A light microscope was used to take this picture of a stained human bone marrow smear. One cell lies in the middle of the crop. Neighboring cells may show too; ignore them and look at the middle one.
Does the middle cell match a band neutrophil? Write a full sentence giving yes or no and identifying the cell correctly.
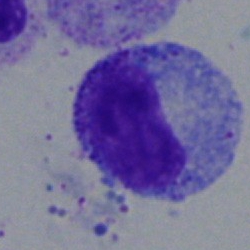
No, the cell found centrally in the crop is a metamyelocyte, not a band neutrophil.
